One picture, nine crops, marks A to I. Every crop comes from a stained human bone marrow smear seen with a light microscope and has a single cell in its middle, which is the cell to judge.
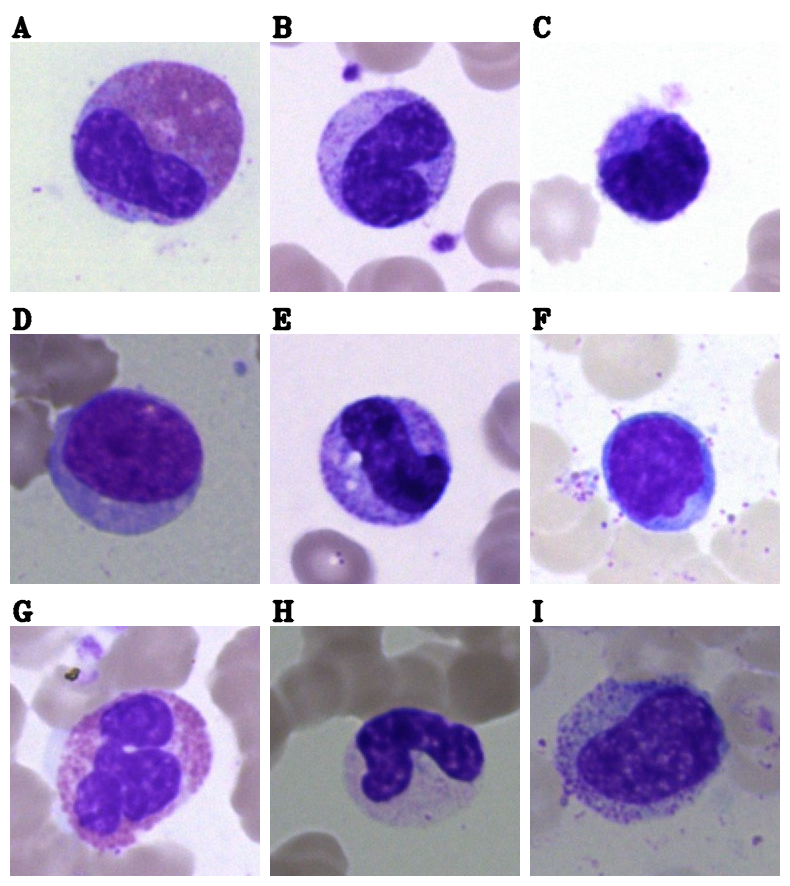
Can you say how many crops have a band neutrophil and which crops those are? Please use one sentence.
In three of the crops, namely B, E and H, the cell shown belongs to the band neutrophils.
